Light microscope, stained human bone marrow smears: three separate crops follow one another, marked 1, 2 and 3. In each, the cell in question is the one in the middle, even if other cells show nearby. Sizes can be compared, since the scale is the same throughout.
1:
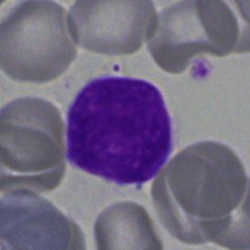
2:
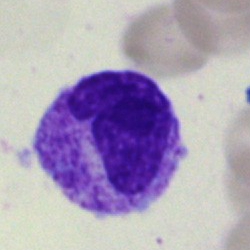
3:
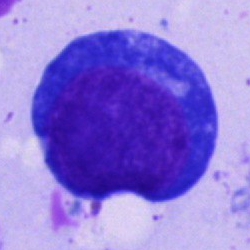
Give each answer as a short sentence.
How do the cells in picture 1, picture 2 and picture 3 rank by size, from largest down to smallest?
Going down, they run 3, 2, 1.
